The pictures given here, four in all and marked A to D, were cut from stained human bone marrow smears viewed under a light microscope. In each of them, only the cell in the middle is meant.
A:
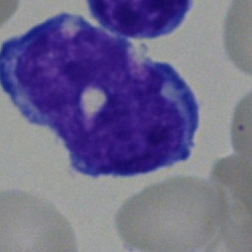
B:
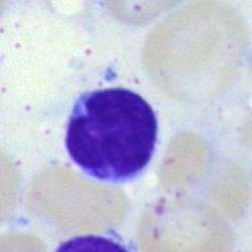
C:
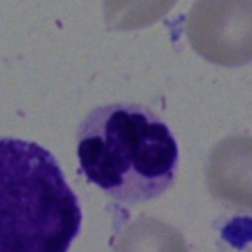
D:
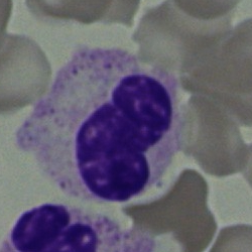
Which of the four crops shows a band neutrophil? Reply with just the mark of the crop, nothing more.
D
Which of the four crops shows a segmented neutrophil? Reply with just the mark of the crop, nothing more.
C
